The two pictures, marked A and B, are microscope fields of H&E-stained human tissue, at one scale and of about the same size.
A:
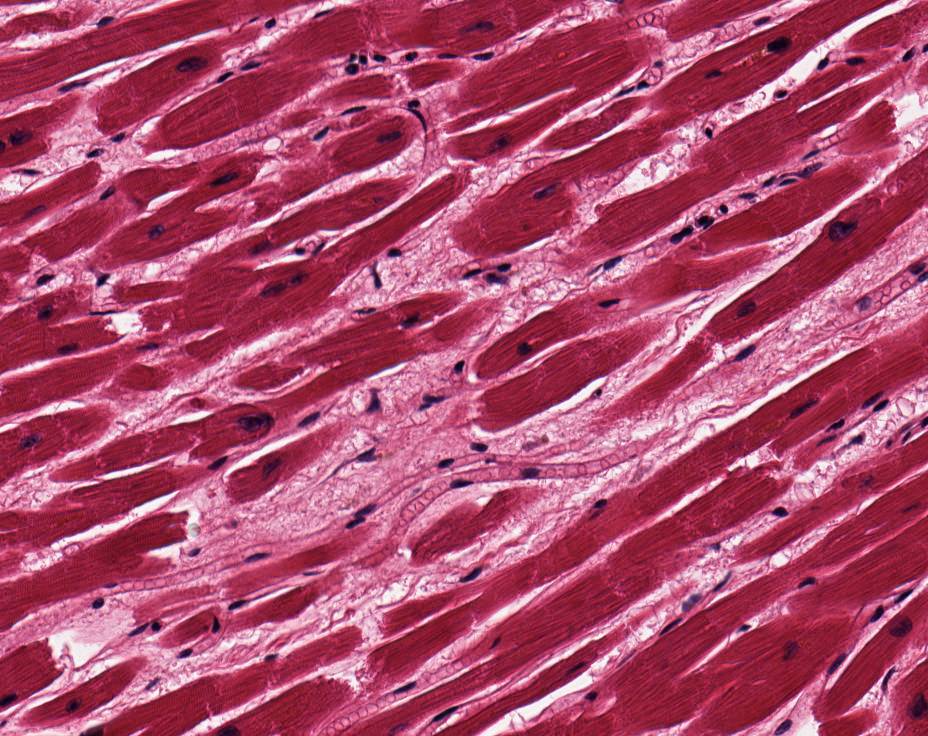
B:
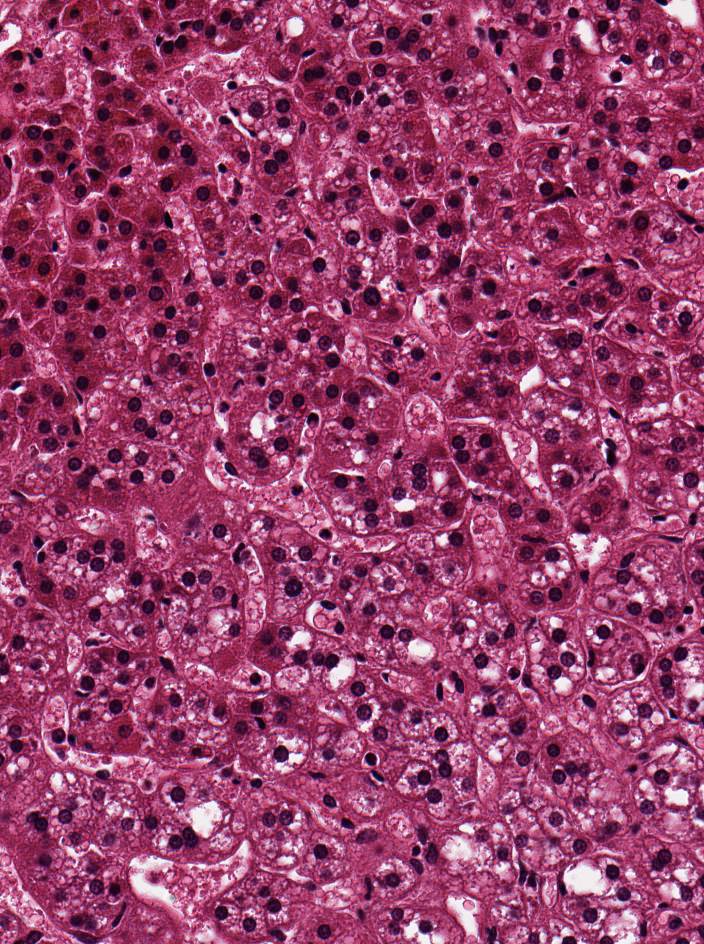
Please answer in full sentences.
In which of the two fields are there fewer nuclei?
It is field A that has fewer nuclei in it.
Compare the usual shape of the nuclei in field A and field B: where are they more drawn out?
On the whole the nuclei of field A are more drawn out than those of field B.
